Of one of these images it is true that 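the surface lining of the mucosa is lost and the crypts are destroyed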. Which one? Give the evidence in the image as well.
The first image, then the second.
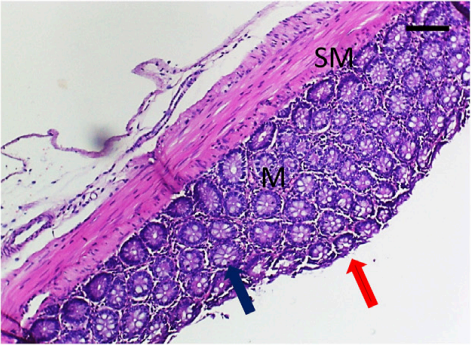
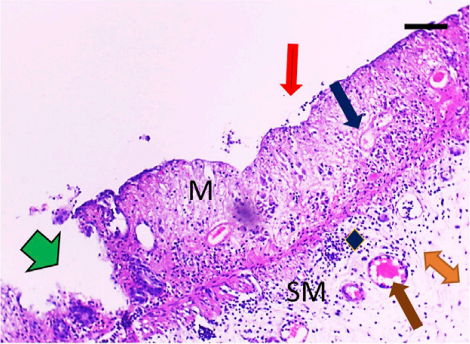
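The second image. Second image: the mucosal surface is ragged and pale with few recognisable crypts. First image: the mucosa is packed with regular round crypts under an intact surface.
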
